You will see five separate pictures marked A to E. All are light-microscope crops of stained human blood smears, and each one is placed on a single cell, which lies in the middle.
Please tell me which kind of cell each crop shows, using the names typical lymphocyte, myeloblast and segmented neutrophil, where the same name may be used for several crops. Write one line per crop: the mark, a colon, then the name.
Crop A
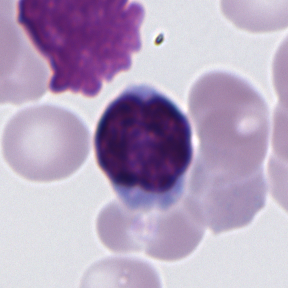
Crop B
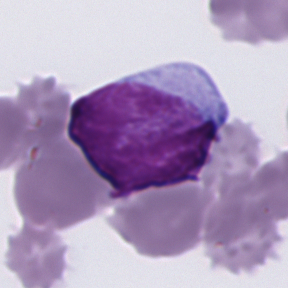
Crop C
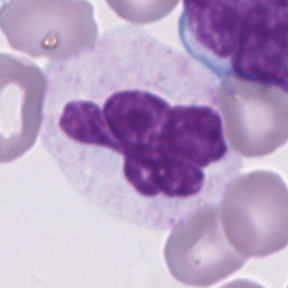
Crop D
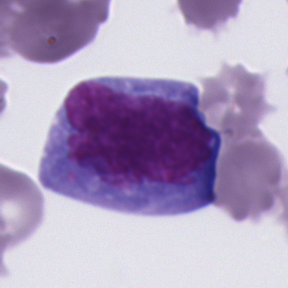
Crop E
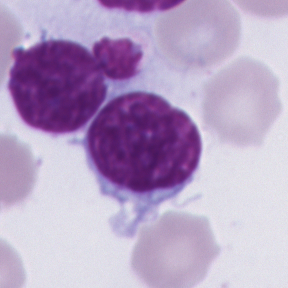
A: typical lymphocyte
B: myeloblast
C: segmented neutrophil
D: myeloblast
E: myeloblast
